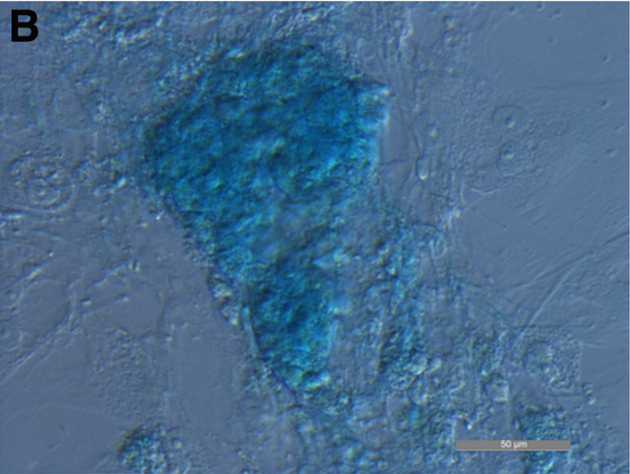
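Around the aggregate lies a single layer of flat, spreading cells whose thin, faint processes run across the surface of the dish; these stay colourless. The contrast between the stained cluster and the unstained monolayer beside it is what to look for.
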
